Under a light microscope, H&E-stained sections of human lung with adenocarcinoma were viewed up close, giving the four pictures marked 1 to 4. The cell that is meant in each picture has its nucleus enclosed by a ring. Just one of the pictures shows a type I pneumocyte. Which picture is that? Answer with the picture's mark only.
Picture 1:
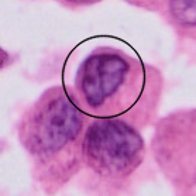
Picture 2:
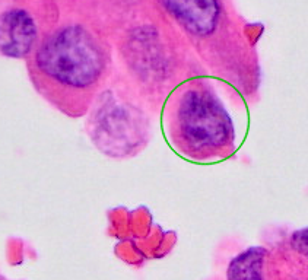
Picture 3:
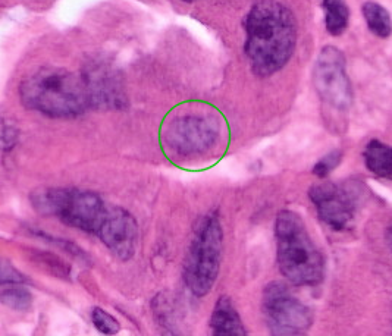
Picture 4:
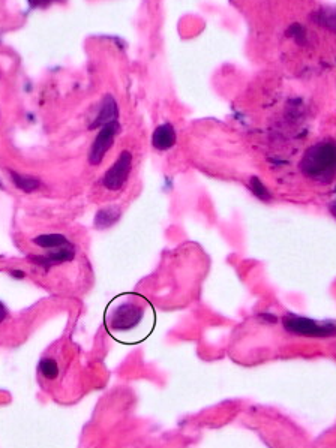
4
